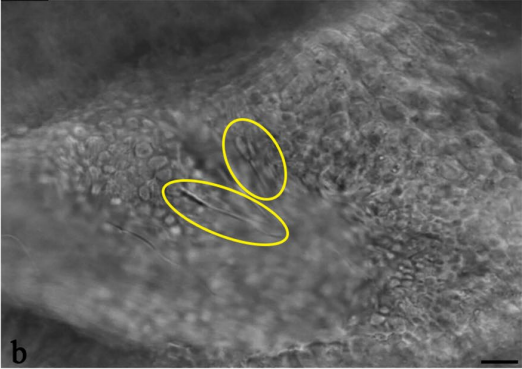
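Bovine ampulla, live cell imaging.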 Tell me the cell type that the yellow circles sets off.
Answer: Spermatozoa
